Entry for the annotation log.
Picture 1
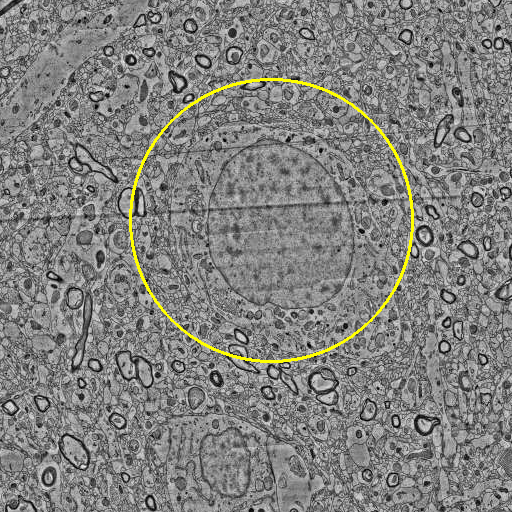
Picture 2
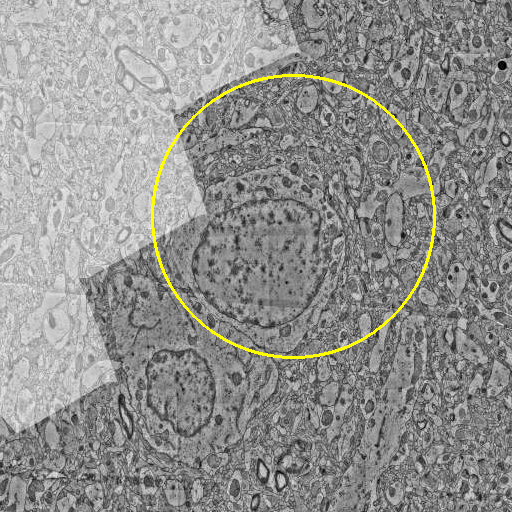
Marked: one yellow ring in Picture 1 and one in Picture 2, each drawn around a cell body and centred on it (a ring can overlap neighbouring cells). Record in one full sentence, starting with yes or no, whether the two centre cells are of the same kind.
Yes, both cells are of the same kind.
